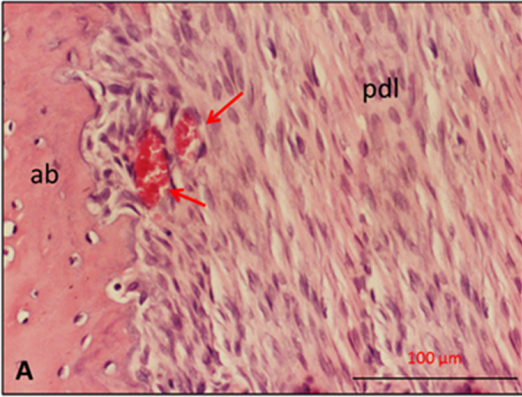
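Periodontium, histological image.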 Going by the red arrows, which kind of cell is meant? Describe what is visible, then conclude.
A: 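Erythrocytes. The arrows point to a cluster of small bright red anucleate bodies. The cluster lies in a small vessel lumen near the bone edge.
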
